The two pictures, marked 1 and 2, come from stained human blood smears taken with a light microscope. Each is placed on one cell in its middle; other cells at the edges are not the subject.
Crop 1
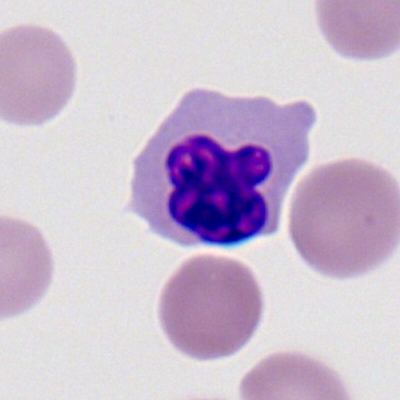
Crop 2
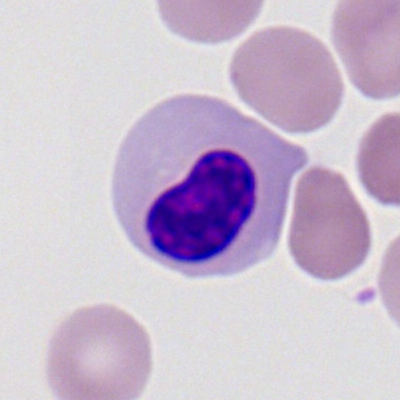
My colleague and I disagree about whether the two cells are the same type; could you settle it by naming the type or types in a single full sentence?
Yes, both crops in the pair show normoblasts.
